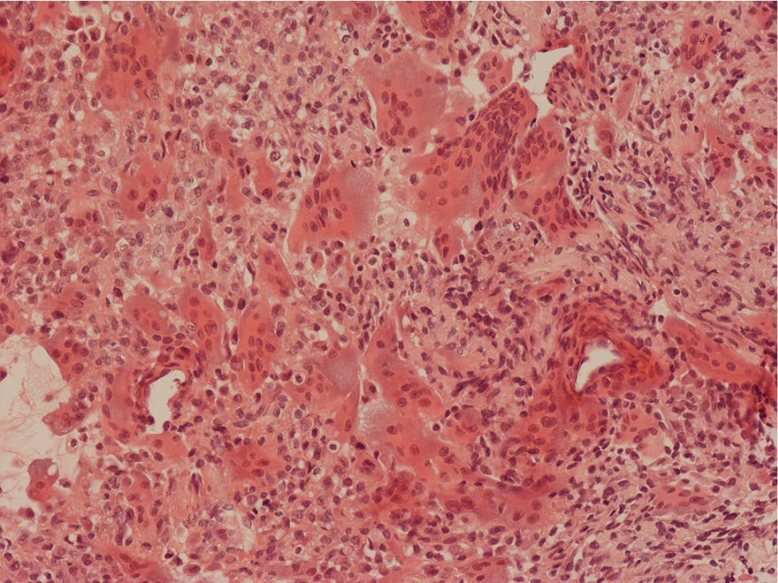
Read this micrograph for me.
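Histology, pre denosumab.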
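This field is crowded with osteoclast-like giant cells: large cells with abundant pink cytoplasm, each holding many oval nuclei, some a very large number. Between them lie dense sheets of mononuclear cells with round to oval nuclei that look much like the nuclei within the giant cells.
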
